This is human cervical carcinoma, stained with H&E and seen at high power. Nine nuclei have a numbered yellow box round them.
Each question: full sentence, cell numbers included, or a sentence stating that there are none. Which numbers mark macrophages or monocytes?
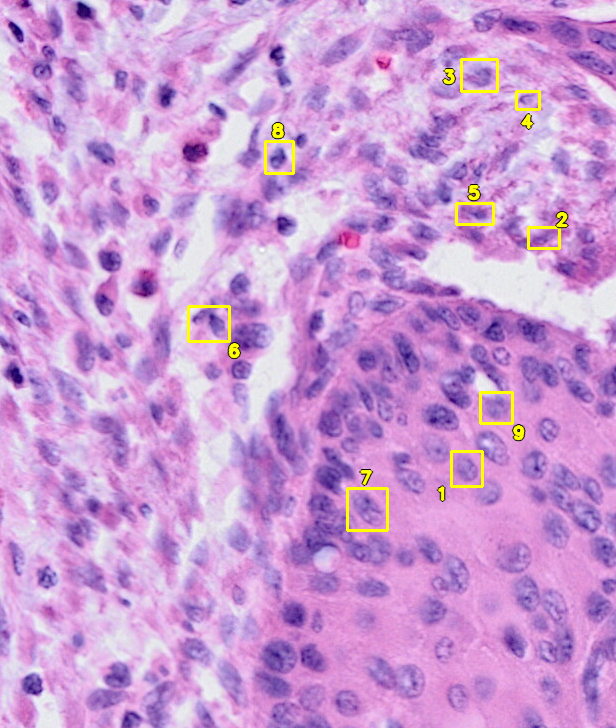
In short, cell 6 is a macrophage or monocyte; the others are not.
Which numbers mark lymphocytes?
Cell 8 is a lymphocyte, while all remaining marked cells are of other types.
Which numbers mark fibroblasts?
Cells 2, 3, 4 and 5 in the section are typed as fibroblasts.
